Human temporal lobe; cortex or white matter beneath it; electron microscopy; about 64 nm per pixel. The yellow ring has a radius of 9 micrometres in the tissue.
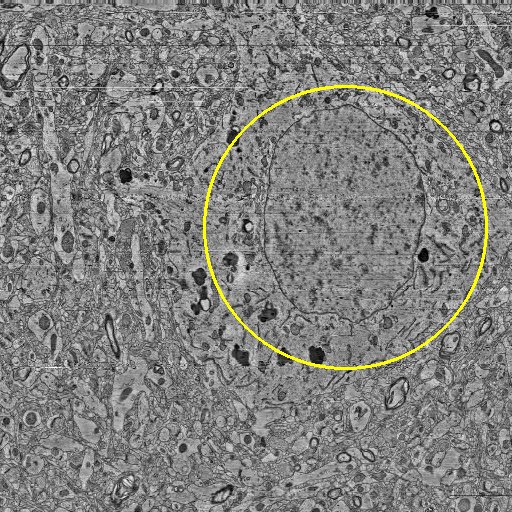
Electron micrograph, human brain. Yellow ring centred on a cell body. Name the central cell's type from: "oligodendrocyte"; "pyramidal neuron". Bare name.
pyramidal neuron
